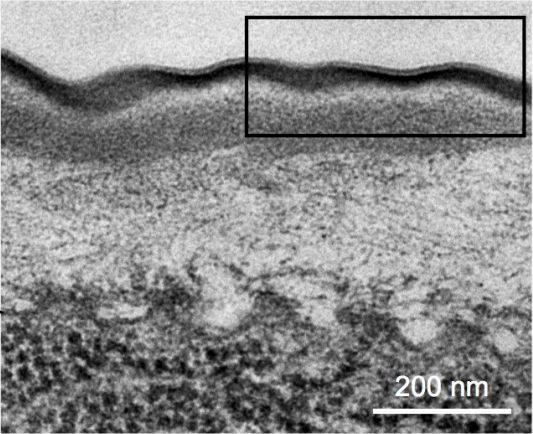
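Across the top runs a layered coat over an epidermal cell: outermost a thin, sharply dark, gently wavy band made of fine alternating dark and light lines; under it a thicker, evenly grey band; below that a wide, pale zone of loose fibrous texture. At the bottom the cell's plasma membrane forms rounded folds, and the cytoplasm beneath is densely granular. A box marks a stretch of the outer bands.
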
